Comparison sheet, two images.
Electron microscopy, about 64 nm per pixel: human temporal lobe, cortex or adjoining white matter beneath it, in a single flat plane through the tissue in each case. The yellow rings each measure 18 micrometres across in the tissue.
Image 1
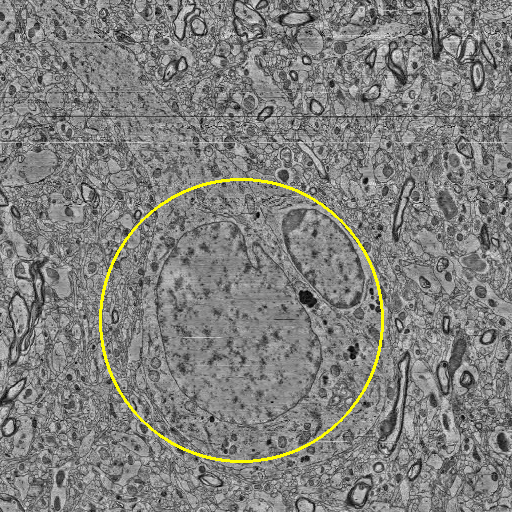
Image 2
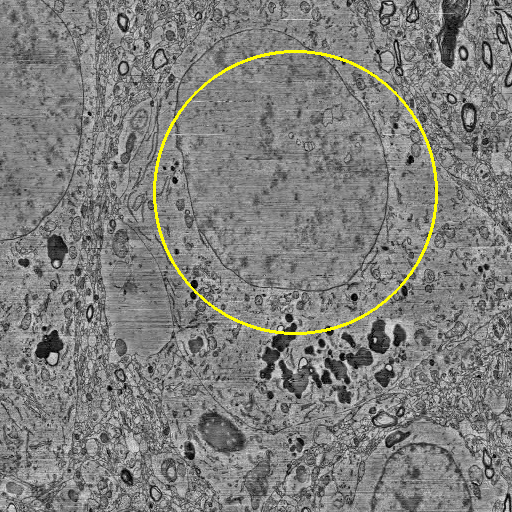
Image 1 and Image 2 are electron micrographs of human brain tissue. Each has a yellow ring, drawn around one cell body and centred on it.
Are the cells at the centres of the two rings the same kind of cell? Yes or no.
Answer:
yes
